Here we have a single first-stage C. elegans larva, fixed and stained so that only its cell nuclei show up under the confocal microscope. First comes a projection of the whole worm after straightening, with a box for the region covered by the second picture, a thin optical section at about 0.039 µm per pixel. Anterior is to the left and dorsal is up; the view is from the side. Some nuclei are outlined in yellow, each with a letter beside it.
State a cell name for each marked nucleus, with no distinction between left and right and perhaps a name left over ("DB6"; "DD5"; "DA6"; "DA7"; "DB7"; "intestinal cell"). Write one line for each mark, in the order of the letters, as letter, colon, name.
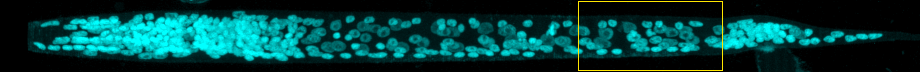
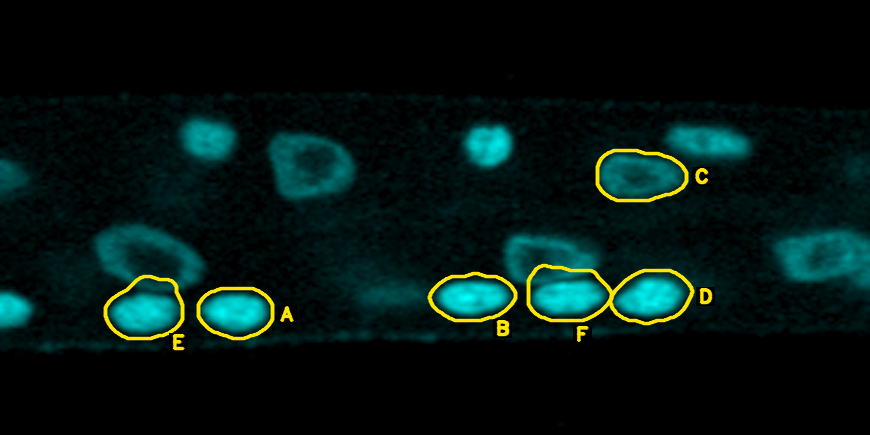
A: DA6
B: DD5
C: intestinal cell
D: DA7
E: DB6
F: DB7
